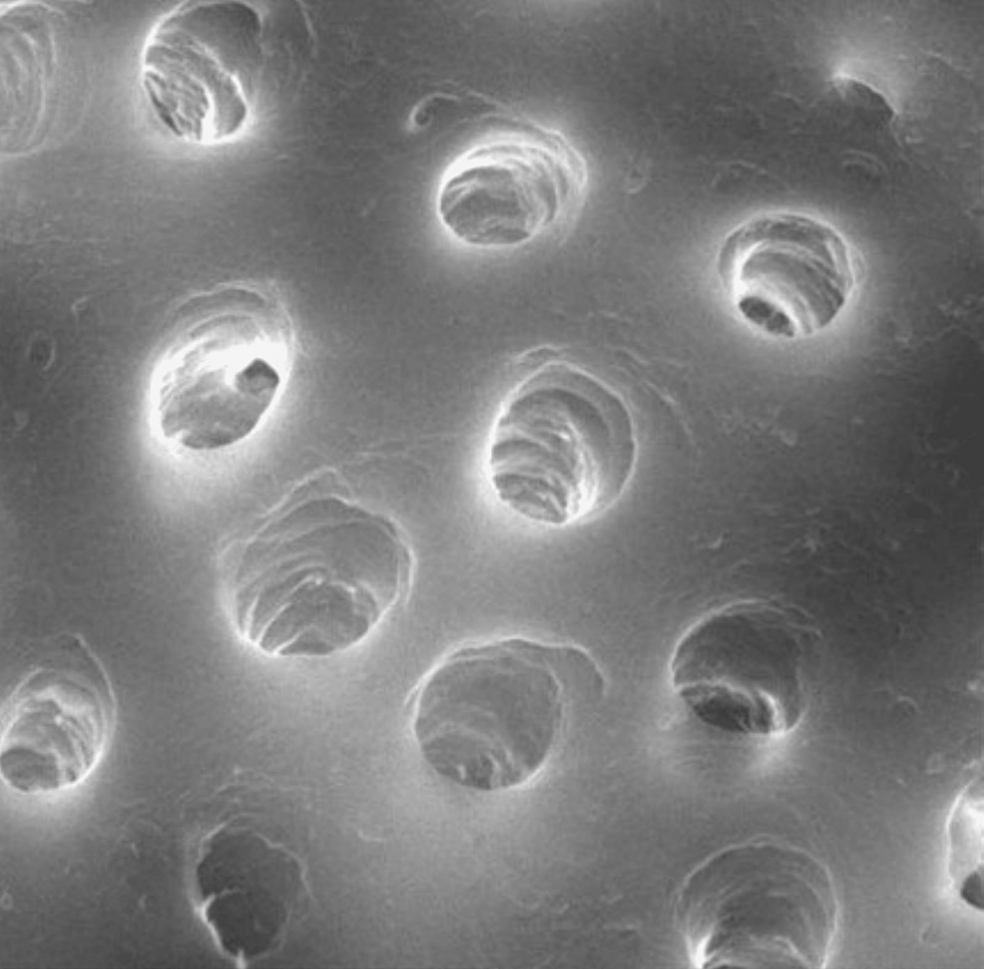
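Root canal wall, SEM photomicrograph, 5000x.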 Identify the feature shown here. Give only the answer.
Patent orifices of dentinal tubules.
